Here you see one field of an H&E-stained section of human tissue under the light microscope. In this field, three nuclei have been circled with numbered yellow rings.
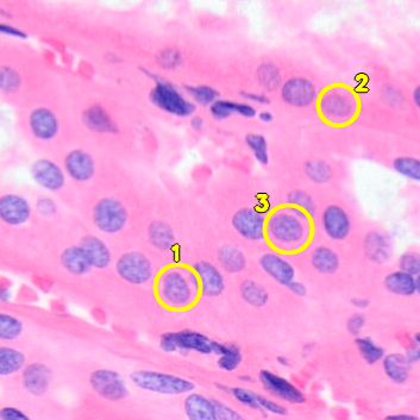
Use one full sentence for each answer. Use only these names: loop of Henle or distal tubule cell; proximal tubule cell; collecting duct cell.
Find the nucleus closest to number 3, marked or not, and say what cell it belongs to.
It is a loop of Henle or distal tubule cell whose nucleus is nearest to number 3.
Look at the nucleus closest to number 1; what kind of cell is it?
Closest to number 1 lies the nucleus of a loop of Henle or distal tubule cell.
